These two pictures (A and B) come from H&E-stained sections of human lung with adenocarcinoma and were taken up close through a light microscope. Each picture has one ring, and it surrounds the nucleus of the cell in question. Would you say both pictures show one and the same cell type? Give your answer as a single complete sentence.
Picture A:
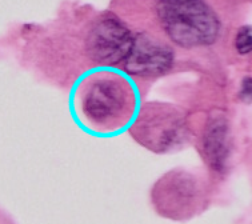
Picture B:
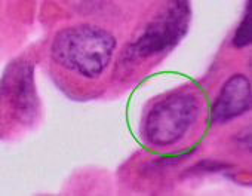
Yes; the cells in both pictures are carcinoma cells.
